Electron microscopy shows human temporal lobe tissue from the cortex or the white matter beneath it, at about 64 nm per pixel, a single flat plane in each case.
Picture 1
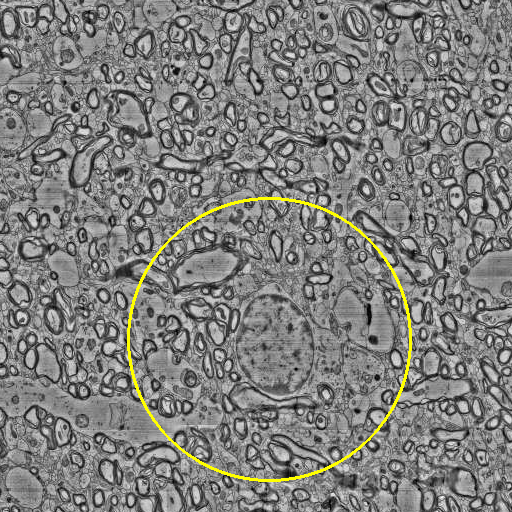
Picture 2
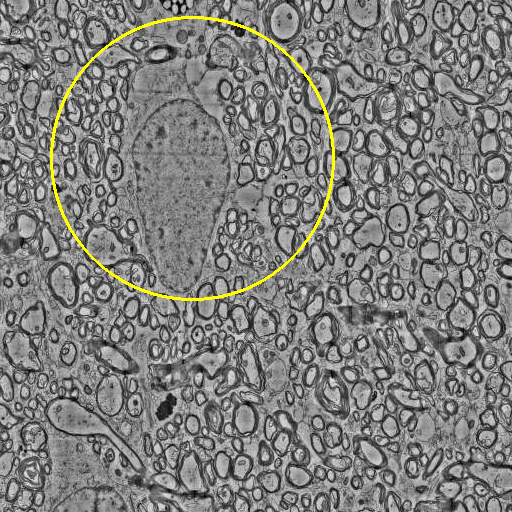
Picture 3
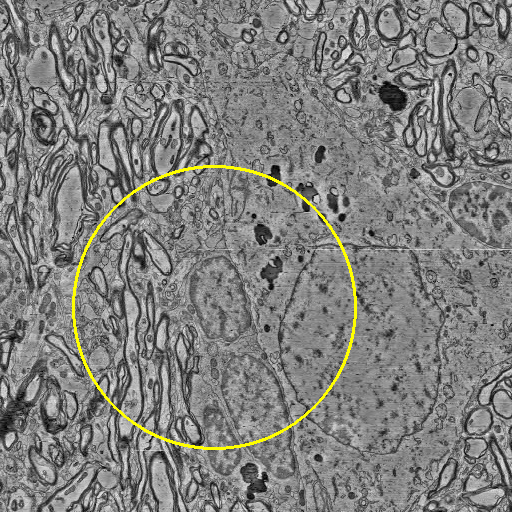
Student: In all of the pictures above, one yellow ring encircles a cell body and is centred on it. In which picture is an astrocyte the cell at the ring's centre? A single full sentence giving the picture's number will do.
Picture number 2 has the wanted cell right at the centre of its ring.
